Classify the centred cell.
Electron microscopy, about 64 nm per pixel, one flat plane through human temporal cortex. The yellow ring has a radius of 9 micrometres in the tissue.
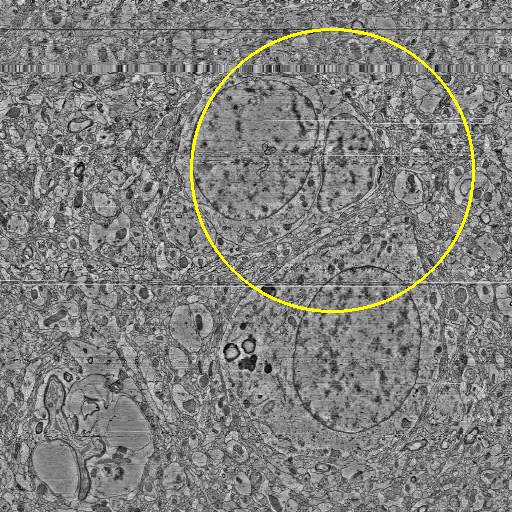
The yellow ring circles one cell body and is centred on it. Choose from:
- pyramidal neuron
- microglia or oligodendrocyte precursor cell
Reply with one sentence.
The ring is centred on a microglial cell or oligodendrocyte precursor cell.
